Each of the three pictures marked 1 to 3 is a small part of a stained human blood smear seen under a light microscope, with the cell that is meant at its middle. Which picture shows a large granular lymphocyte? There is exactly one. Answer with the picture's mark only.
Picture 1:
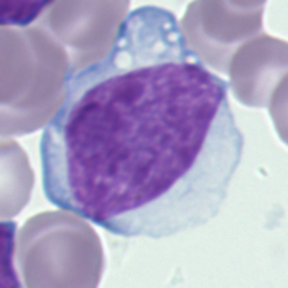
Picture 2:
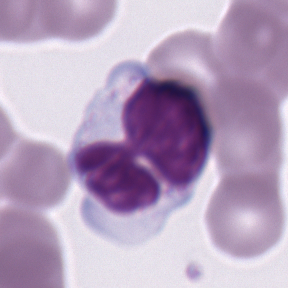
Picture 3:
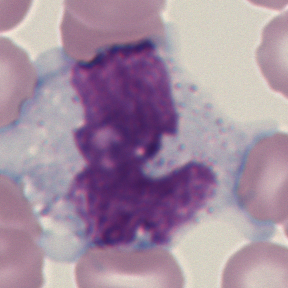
2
